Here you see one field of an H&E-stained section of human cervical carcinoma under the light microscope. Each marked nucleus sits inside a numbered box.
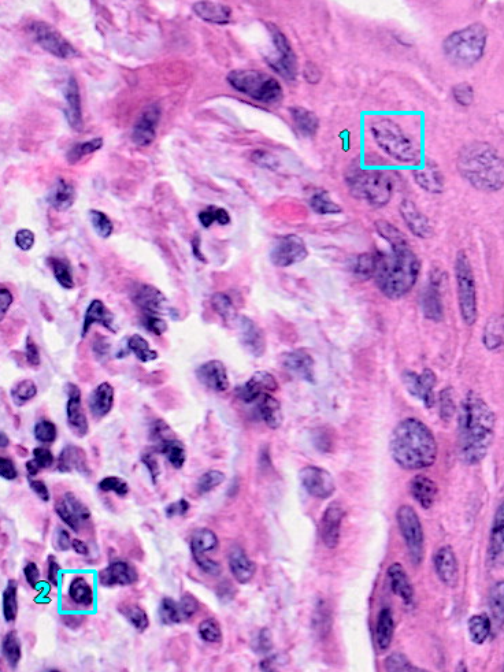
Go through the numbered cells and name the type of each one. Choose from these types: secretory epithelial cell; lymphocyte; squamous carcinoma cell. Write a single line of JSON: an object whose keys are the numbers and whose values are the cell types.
{"1": "squamous carcinoma cell", "2": "lymphocyte"}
